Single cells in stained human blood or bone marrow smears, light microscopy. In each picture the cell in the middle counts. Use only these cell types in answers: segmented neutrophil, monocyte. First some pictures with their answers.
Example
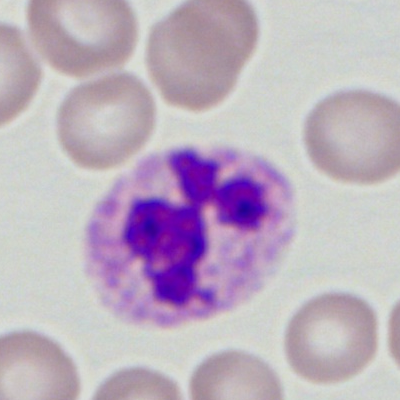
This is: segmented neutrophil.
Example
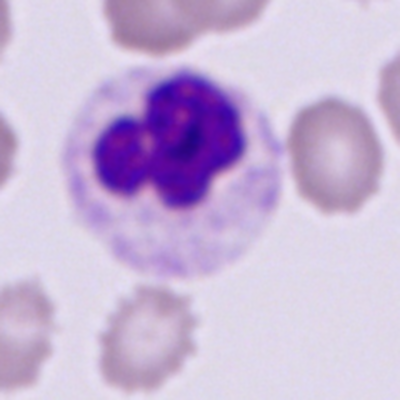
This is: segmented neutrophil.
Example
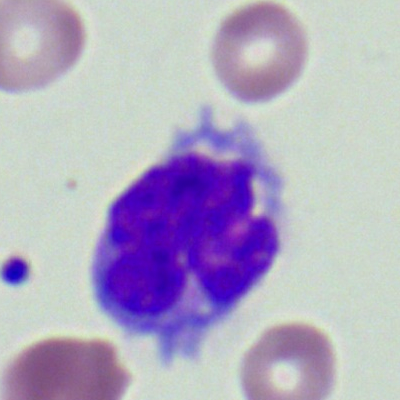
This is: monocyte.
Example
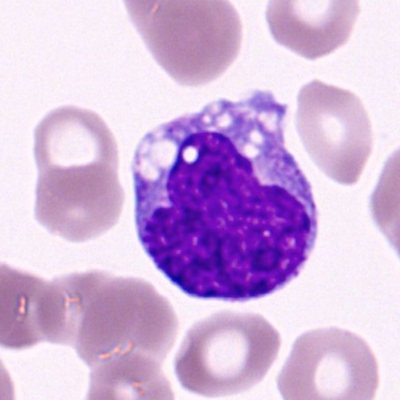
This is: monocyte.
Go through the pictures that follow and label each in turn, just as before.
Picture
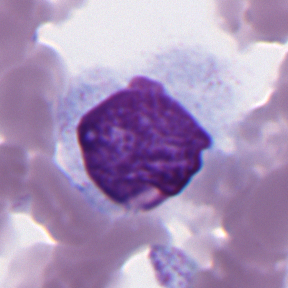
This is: monocyte.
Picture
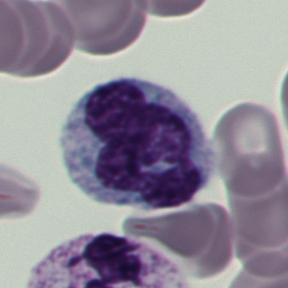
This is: monocyte.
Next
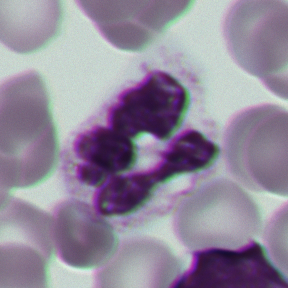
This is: segmented neutrophil.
